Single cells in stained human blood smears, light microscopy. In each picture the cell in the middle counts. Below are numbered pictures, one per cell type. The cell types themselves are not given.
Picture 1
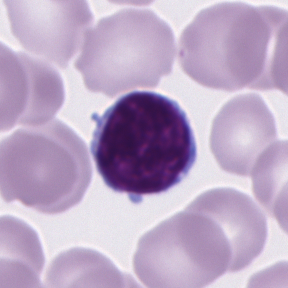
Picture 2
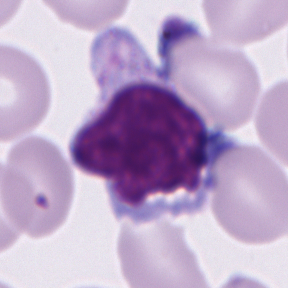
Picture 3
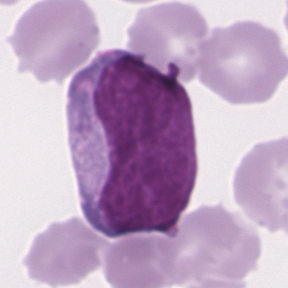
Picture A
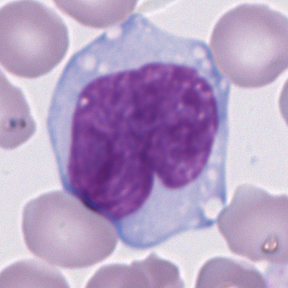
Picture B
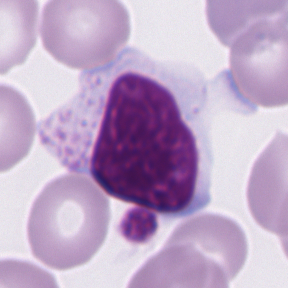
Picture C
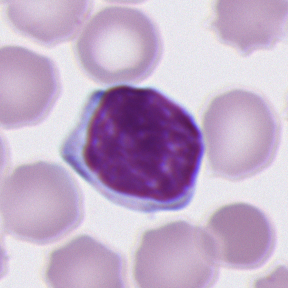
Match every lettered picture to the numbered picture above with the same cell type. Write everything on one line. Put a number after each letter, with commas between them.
A 3, B 2, C 1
